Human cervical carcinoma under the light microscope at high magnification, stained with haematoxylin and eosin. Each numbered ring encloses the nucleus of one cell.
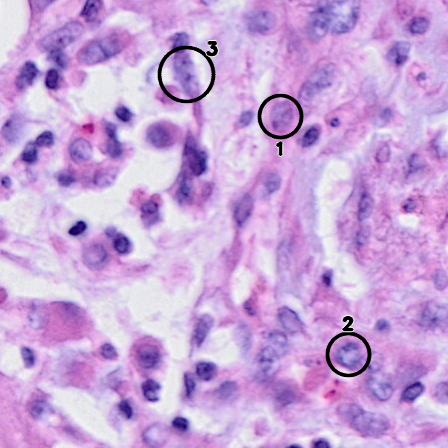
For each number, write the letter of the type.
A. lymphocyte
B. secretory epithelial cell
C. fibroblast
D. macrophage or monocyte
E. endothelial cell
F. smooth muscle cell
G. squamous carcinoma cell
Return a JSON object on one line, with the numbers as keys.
{"1": "E", "2": "E", "3": "C"}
